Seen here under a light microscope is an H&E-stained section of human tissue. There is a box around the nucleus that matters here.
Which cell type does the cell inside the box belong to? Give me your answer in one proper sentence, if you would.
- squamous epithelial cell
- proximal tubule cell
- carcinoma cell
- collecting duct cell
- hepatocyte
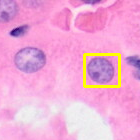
In this tissue sample, the cell inside the box is a proximal tubule cell.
